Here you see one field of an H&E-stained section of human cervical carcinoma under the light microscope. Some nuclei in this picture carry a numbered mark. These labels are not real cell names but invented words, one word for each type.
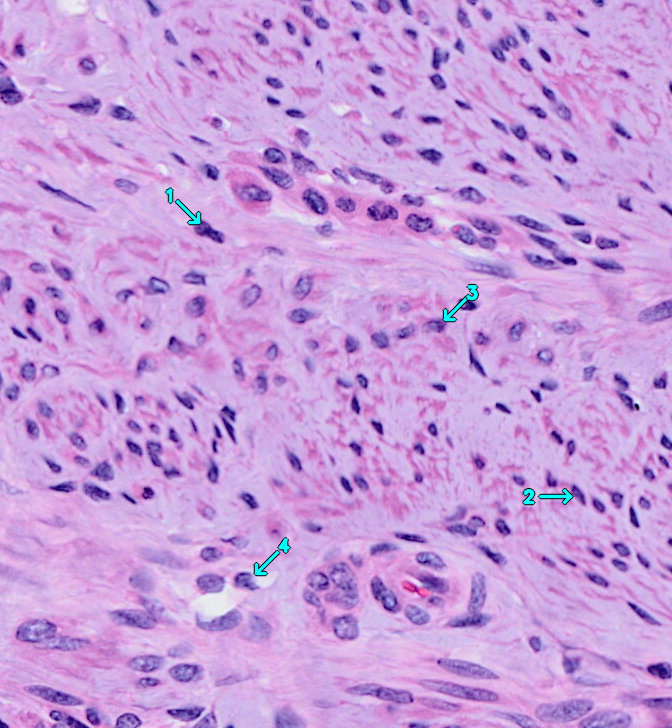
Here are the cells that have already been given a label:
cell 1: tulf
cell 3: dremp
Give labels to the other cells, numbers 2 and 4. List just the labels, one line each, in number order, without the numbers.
dremp
tulf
